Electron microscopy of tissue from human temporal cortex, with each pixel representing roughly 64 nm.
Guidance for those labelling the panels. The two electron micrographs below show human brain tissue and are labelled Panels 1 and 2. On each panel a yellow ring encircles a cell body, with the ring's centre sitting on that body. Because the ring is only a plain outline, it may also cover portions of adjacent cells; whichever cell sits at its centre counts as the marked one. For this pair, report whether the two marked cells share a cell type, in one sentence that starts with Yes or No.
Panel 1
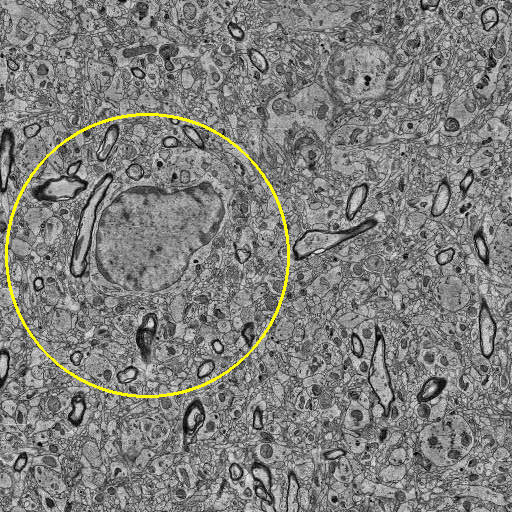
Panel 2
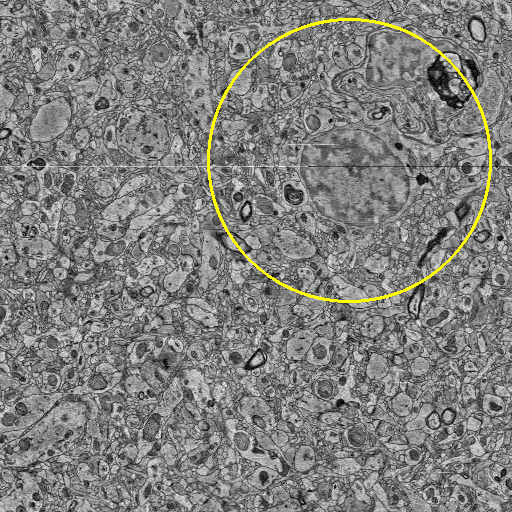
No, in Panel 1 and Panel 2 the marked cells at the ring centres are of two types.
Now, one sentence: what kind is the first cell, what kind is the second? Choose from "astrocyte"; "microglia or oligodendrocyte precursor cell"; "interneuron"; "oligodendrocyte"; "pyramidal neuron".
The first picture has a microglial cell or oligodendrocyte precursor cell at its ring centre, and the second has an oligodendrocyte.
